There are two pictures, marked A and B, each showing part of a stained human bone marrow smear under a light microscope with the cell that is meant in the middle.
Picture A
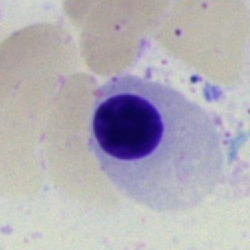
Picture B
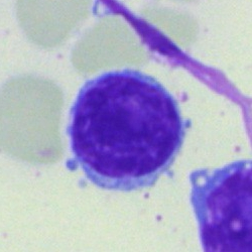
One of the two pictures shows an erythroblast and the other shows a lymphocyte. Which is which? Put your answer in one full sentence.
In picture A the cell is an erythroblast; in picture B, a lymphocyte.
